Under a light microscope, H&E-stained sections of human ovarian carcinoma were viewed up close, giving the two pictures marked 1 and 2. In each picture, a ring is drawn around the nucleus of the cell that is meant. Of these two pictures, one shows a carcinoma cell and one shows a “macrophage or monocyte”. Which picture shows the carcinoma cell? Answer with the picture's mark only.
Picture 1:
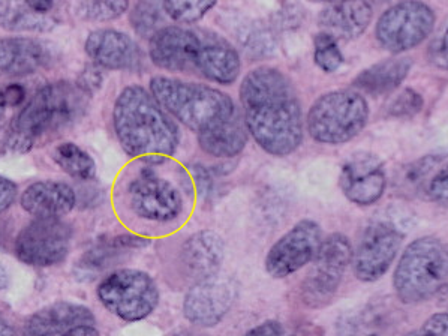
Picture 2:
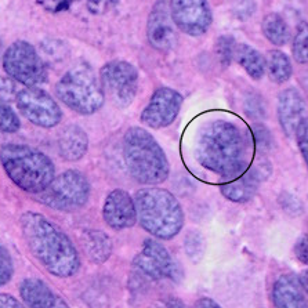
2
